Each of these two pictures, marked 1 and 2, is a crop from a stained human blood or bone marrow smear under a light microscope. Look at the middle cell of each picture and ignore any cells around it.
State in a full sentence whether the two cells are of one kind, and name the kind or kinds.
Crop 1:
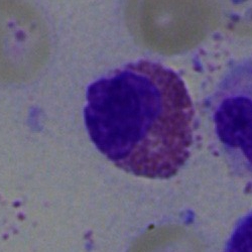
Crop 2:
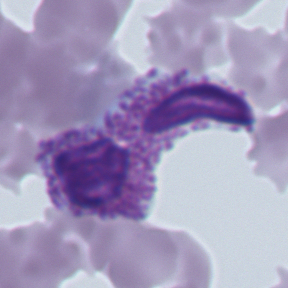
Yes, eosinophils are shown in both crops.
